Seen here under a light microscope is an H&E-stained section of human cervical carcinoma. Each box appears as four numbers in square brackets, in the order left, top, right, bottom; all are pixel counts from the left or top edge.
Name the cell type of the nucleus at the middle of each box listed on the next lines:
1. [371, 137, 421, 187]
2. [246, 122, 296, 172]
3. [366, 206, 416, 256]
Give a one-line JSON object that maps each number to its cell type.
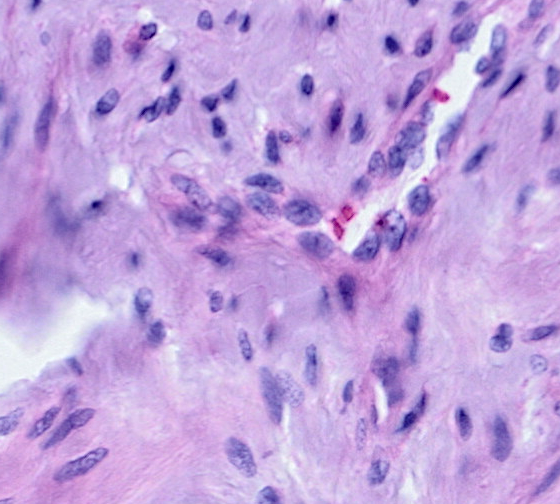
{"1": "endothelial cell", "2": "fibroblast", "3": "endothelial cell"}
